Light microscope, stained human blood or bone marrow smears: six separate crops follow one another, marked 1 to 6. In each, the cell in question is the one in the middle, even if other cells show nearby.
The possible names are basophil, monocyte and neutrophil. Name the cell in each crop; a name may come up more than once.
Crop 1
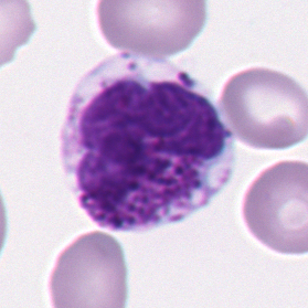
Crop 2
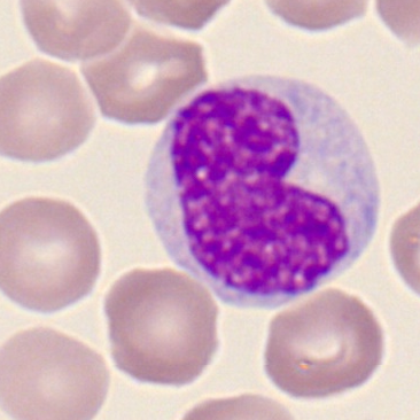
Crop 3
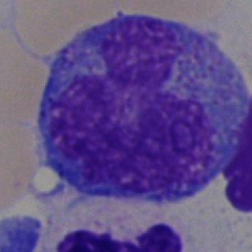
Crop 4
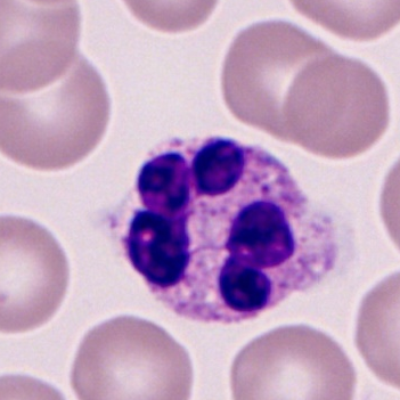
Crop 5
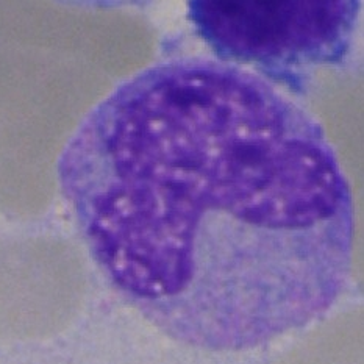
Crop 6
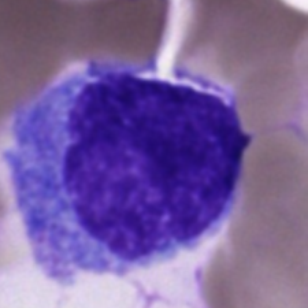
1: basophil
2: monocyte
3: monocyte
4: neutrophil
5: monocyte
6: monocyte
